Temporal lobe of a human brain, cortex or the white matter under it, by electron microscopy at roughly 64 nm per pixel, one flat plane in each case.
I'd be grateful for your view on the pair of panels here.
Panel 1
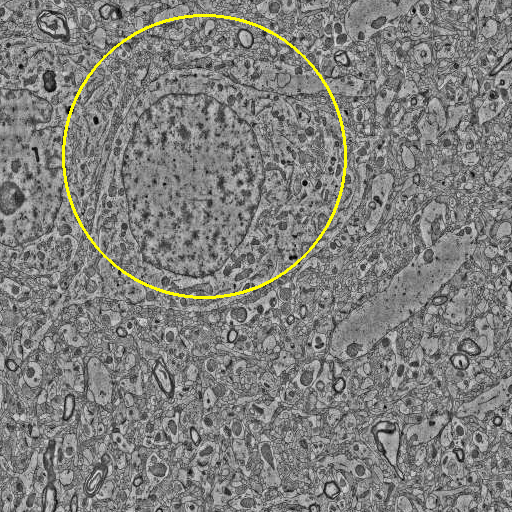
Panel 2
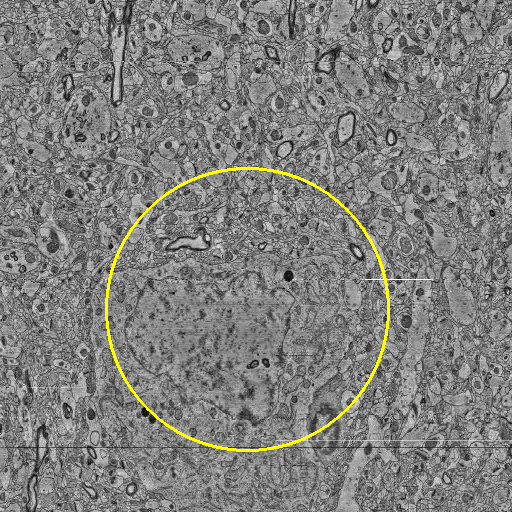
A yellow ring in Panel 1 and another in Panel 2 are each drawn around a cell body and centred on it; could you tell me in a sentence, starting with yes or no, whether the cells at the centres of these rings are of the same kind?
Yes, they are the same kind of cell.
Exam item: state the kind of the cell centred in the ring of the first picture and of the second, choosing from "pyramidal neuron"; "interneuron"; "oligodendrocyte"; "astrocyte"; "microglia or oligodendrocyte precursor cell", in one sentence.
The cell in the first picture is an interneuron, and so is the one in the second.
